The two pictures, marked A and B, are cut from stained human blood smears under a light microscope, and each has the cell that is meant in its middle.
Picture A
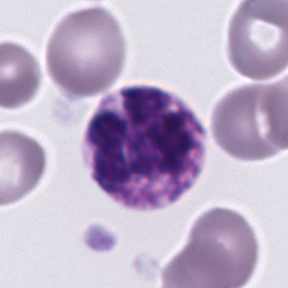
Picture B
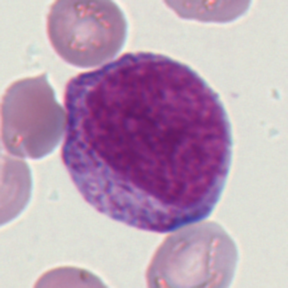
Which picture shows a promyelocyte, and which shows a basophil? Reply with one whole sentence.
In picture A the cell is a basophil; in picture B, a promyelocyte.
